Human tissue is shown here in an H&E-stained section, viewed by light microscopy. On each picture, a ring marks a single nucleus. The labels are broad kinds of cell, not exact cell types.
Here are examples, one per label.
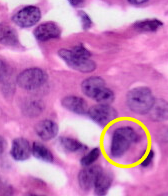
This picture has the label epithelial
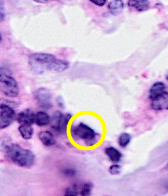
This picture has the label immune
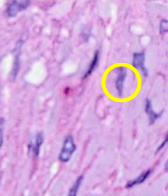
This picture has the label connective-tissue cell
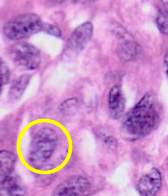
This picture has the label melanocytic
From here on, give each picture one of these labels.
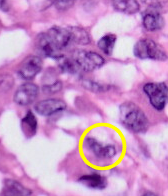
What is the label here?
melanocytic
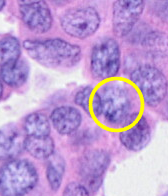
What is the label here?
epithelial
